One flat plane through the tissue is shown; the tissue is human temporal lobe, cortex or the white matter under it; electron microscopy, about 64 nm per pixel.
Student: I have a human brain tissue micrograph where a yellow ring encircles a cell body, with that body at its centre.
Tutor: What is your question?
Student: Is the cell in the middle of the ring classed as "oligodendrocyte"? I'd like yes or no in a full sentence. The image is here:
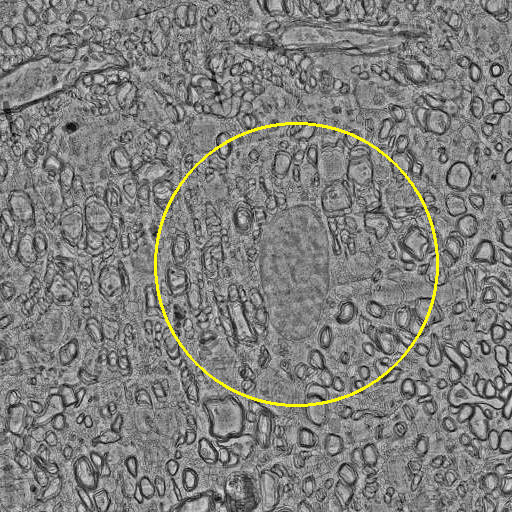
Yes, the cell in the middle of the ring is classed as that kind.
